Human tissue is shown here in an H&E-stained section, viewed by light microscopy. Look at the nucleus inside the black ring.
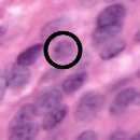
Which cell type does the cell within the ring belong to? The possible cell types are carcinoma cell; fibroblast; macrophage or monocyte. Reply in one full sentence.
The category to which the cell within the ring belongs is that of a macrophage or monocyte.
